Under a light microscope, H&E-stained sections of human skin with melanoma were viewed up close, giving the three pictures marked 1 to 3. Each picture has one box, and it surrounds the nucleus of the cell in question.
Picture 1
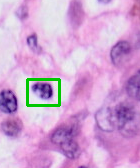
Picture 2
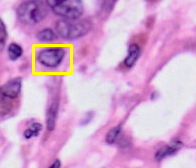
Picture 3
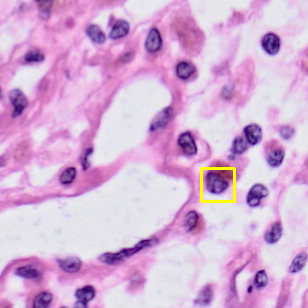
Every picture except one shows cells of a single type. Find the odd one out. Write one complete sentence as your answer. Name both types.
Picture 1 differs, because its cell is a lymphocyte and the rest are “macrophages or monocytes”.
